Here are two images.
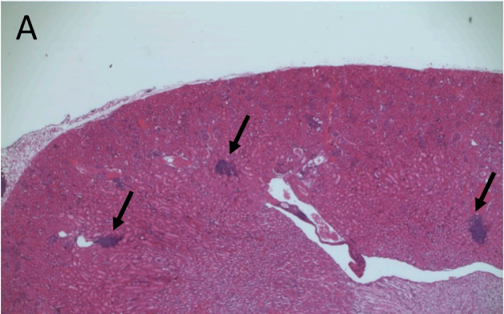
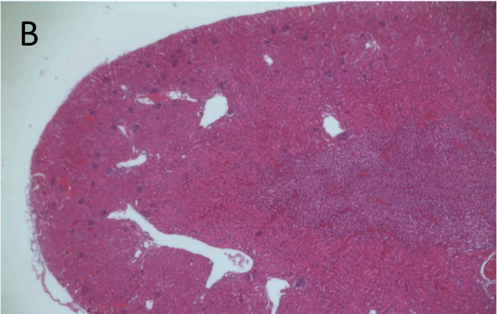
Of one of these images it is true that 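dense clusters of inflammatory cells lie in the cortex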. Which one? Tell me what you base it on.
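First image: several compact dark purple clusters stand out in the pink cortex.
Hence: the first image.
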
